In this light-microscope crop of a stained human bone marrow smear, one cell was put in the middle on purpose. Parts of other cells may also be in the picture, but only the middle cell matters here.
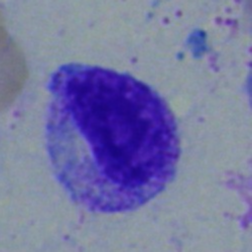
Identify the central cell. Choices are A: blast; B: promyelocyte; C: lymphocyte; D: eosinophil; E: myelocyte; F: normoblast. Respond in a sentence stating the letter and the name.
The cell in the middle is a myelocyte, and so option E is correct.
